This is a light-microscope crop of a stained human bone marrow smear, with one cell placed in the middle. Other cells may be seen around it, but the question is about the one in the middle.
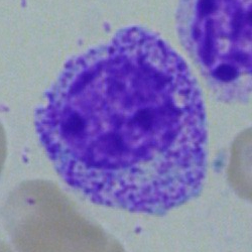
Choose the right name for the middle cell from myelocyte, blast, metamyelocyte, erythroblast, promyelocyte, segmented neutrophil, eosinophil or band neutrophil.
myelocyte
